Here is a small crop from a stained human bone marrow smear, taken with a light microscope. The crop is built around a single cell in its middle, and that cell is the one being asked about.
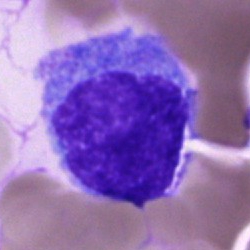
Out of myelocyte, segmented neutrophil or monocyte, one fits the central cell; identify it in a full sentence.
The crop shows a monocyte in its centre.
